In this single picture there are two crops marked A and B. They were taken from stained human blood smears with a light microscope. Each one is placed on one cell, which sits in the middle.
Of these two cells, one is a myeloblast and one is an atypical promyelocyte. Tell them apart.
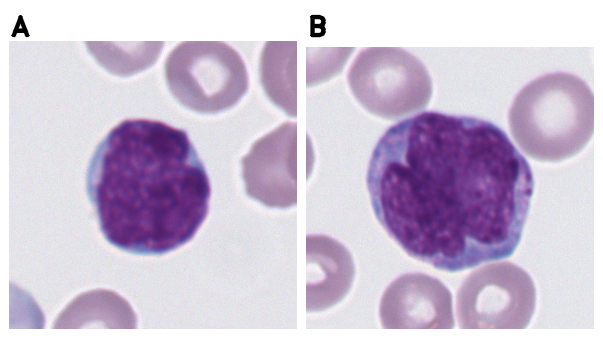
A: myeloblast
B: atypical promyelocyte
